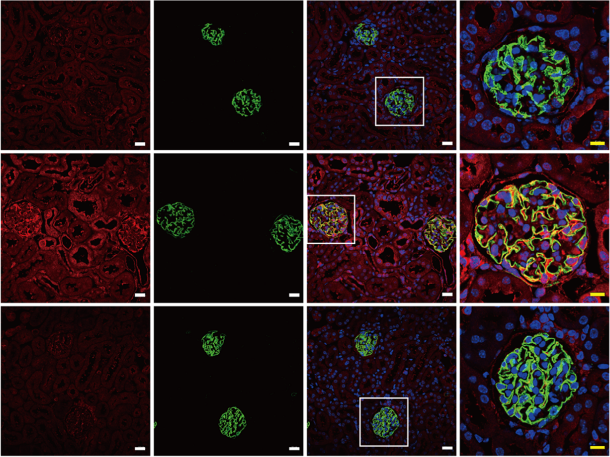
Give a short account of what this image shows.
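Kidney cortex, fluorescence grid of low-power fields with enlarged views of single glomeruli. Each glomerulus is a round capillary tuft outlined by a lacy green pattern following the capillary loops, set among tubule cross-sections. Blue nuclei are crowded within the tuft and line the surrounding tubules. Red fluorescence is faint in some rows and strong in others, filling tubular epithelium; in some enlarged glomeruli red overlaps the green loops, giving yellow along the tuft. White boxes mark the glomerulus shown enlarged at right.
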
